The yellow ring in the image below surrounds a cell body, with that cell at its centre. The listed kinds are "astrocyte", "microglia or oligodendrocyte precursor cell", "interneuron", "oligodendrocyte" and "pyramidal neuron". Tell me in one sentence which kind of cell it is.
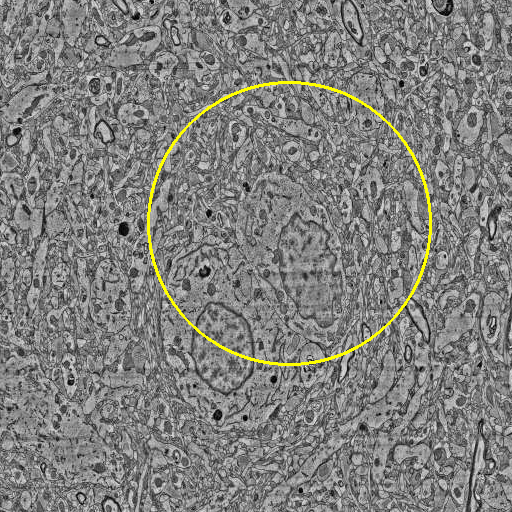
The centre of the ring holds an interneuron.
